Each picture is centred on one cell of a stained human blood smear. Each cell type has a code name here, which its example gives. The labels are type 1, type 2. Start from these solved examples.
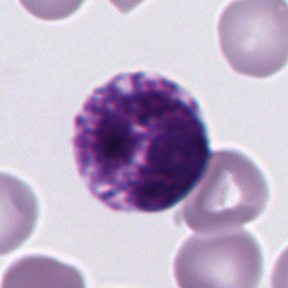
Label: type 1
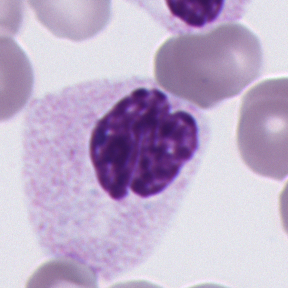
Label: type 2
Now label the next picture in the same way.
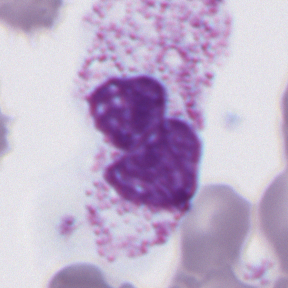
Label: type 2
